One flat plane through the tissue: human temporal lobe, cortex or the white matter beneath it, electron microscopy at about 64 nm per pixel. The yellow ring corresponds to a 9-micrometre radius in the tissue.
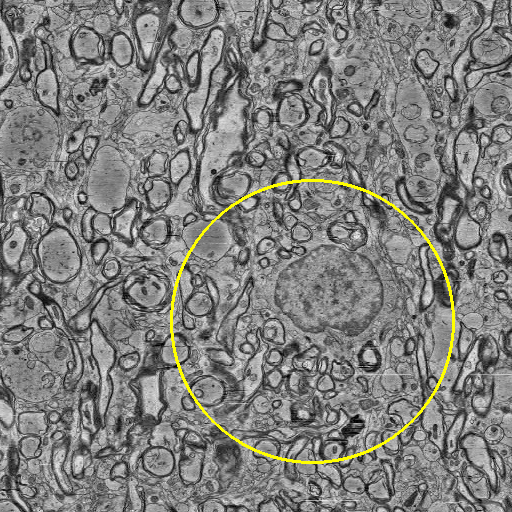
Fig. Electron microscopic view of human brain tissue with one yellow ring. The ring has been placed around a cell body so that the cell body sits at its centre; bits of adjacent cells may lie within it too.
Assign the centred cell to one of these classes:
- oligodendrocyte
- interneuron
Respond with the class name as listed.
oligodendrocyte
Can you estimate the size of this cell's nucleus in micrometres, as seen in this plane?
In this plane, the nucleus of the cell at the centre of the ring is about 6 micrometres across.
